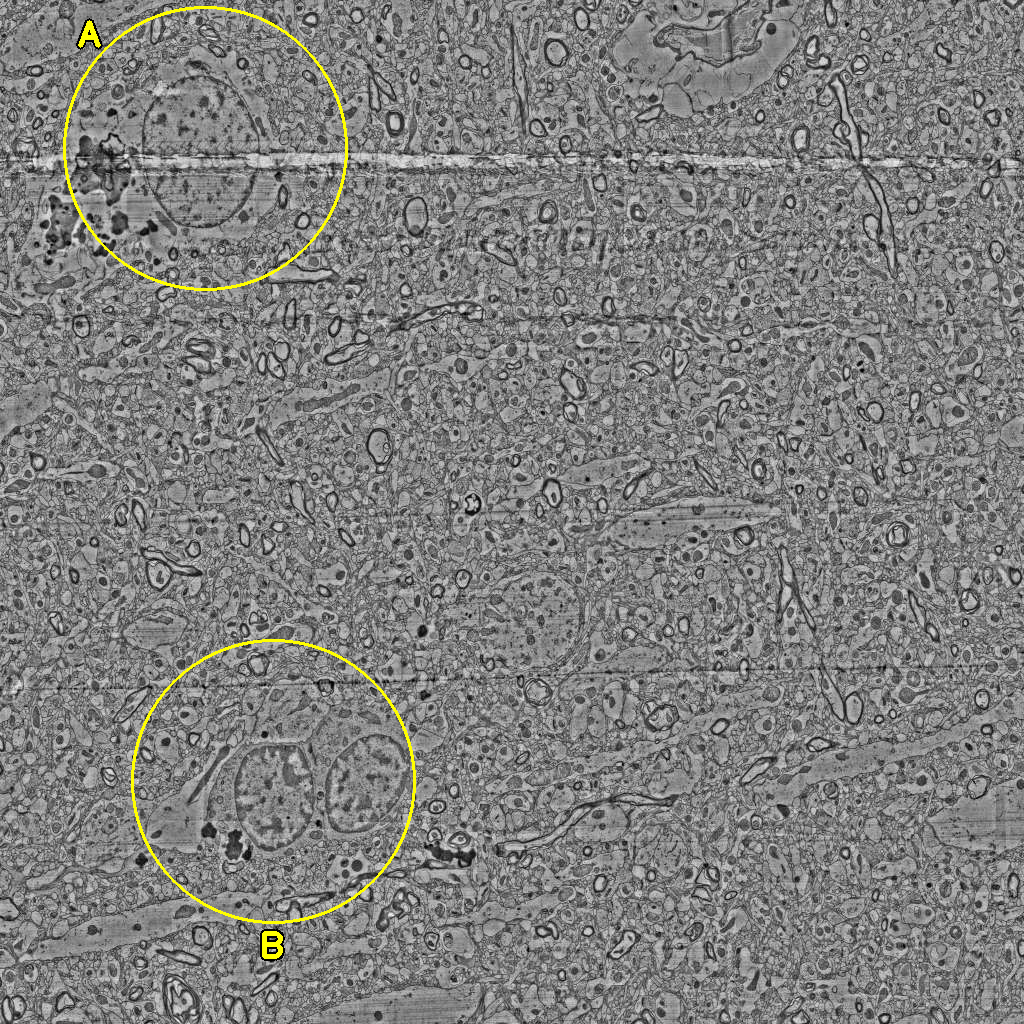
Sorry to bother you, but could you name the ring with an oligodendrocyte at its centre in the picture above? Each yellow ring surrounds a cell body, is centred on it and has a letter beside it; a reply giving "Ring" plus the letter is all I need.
Ring B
